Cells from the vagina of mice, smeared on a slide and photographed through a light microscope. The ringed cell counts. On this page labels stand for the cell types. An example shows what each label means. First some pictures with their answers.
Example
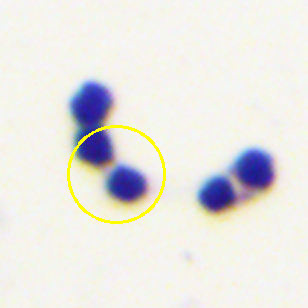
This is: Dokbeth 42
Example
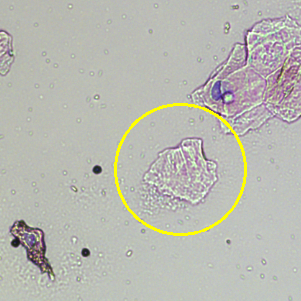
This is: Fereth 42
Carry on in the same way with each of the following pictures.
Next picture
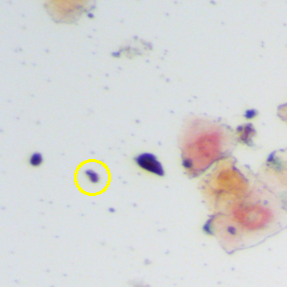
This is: Dokbeth 42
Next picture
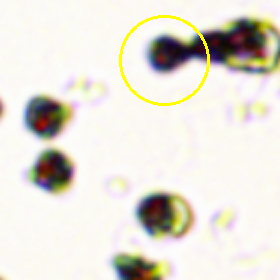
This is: Dokbeth 42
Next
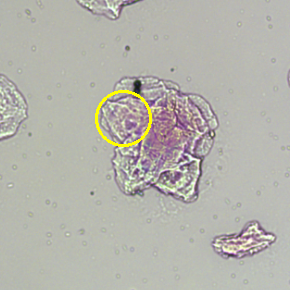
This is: Fereth 42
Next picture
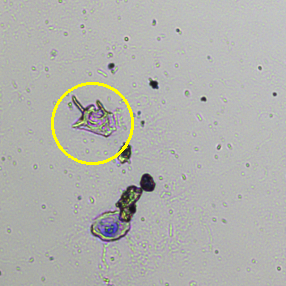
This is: Fereth 42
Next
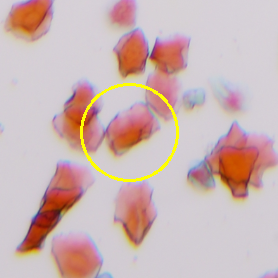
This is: Fereth 42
